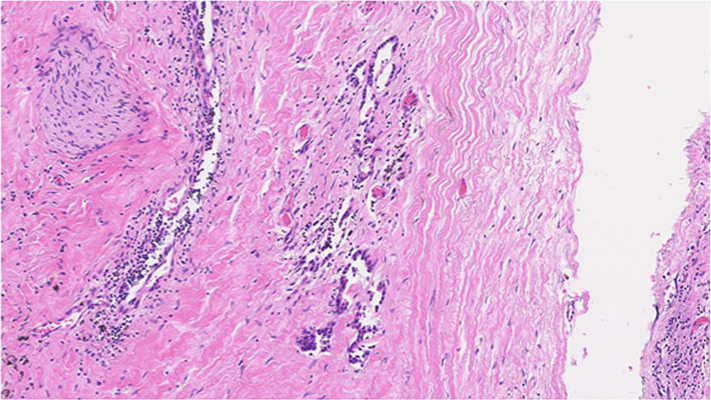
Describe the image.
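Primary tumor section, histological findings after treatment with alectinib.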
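In the middle, narrow slit-like spaces are lined by small groups of cells with dark nuclei. Scattered small inflammatory cells and some dark pigment lie beside them. In the upper left, a rounded whorl of spindle cells within a fibrous wall is seen. A few small vessels containing red blood cells lie in the stroma.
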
